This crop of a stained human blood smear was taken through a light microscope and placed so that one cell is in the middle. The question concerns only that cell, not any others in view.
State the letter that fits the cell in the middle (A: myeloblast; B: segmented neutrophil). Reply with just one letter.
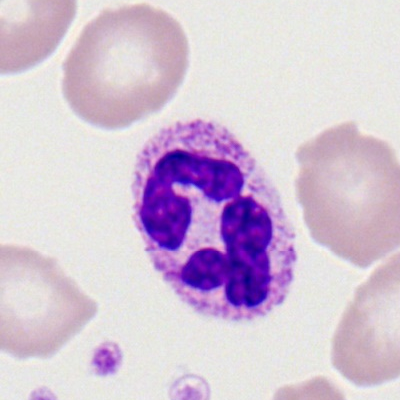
B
